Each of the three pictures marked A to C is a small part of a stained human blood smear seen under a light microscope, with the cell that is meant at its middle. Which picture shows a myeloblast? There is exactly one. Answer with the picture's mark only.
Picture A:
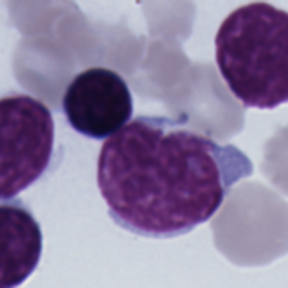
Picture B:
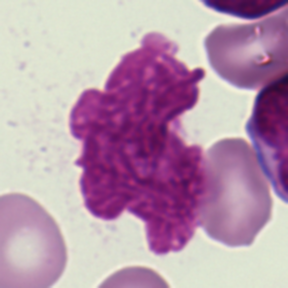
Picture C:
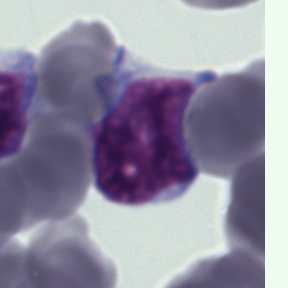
A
